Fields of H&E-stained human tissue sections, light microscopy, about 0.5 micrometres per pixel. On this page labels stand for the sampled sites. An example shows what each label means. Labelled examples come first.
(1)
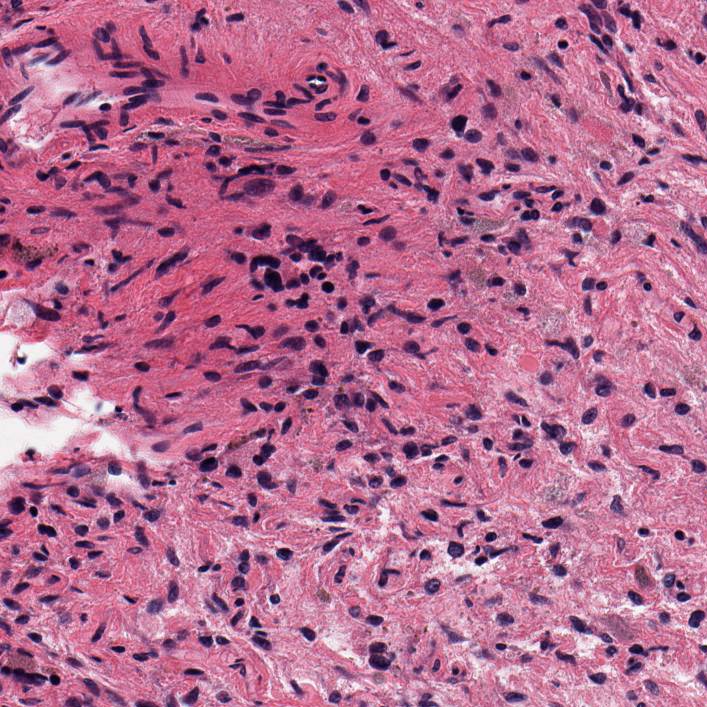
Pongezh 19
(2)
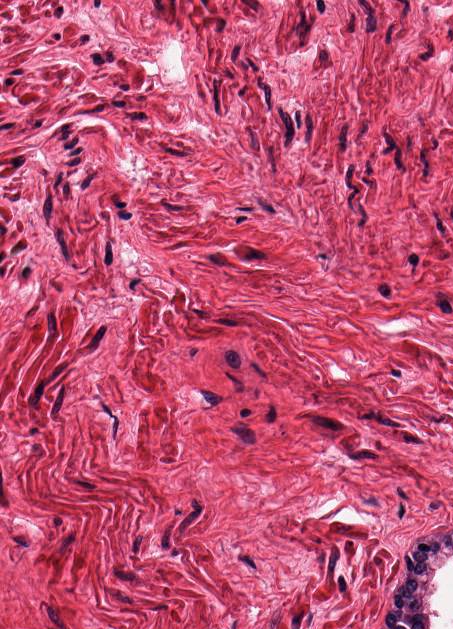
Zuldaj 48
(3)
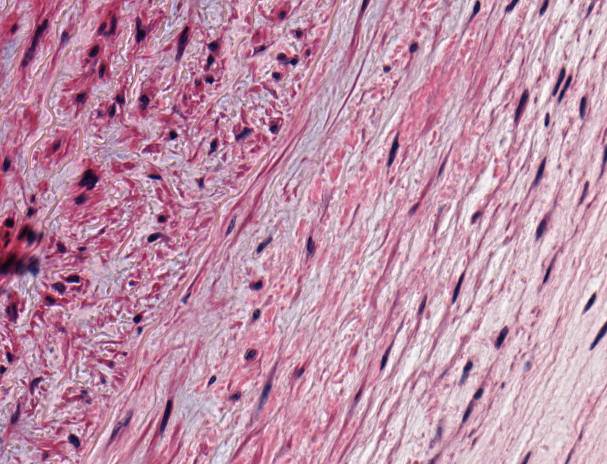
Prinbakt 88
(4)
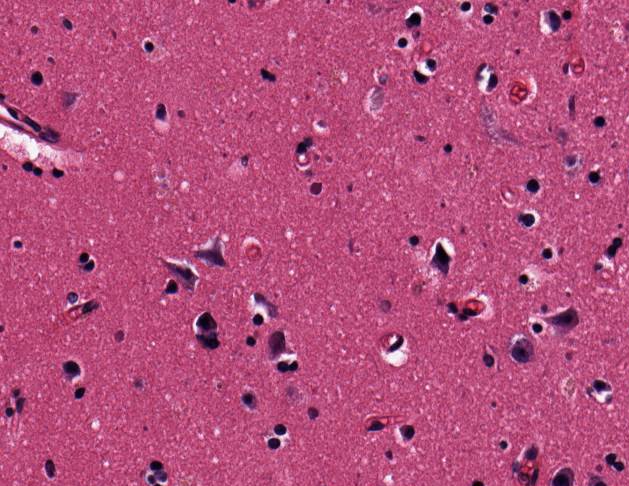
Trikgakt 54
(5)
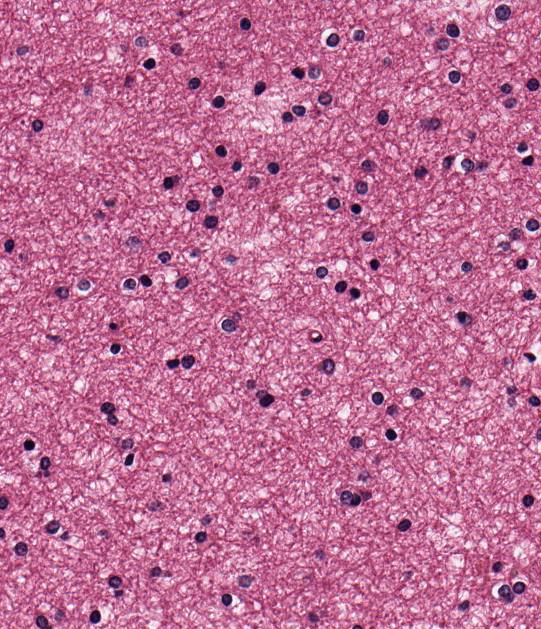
Trikgakt 54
